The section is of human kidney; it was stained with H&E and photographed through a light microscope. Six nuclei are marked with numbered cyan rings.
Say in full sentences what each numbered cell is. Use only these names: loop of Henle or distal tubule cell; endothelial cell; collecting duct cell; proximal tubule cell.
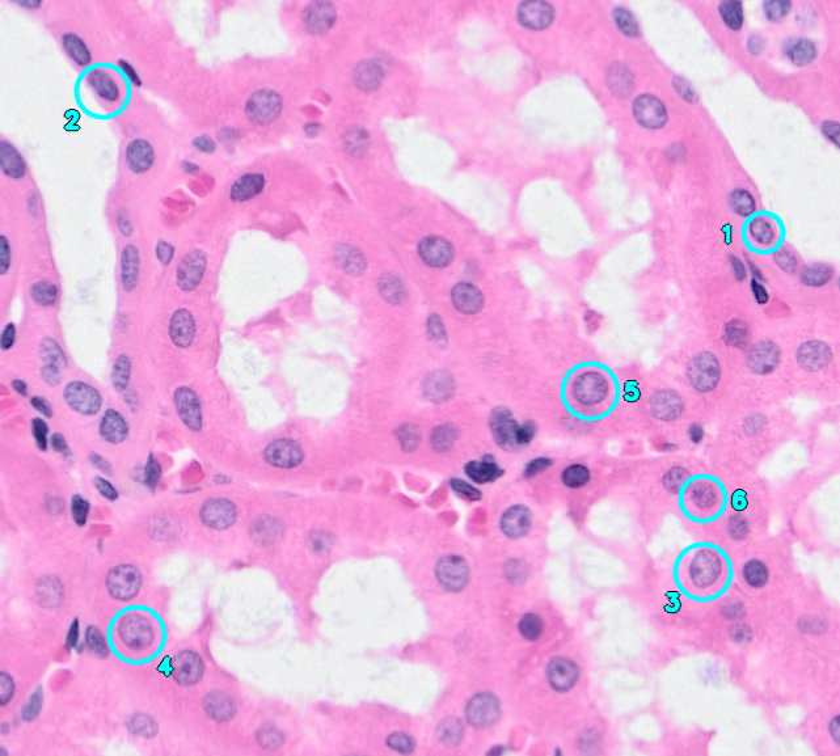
Cell 1 is a collecting duct cell, cell 2 is a collecting duct cell, cell 3 is a proximal tubule cell, cell 4 is a proximal tubule cell, cell 5 is a proximal tubule cell and cell 6 is a proximal tubule cell.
